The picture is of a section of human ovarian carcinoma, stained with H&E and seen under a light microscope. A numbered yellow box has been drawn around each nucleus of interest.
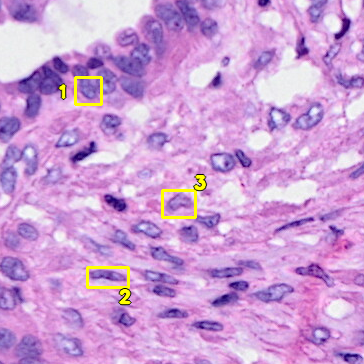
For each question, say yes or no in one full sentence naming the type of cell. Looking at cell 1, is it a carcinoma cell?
Yes, the cell at marker 1 is a carcinoma cell.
